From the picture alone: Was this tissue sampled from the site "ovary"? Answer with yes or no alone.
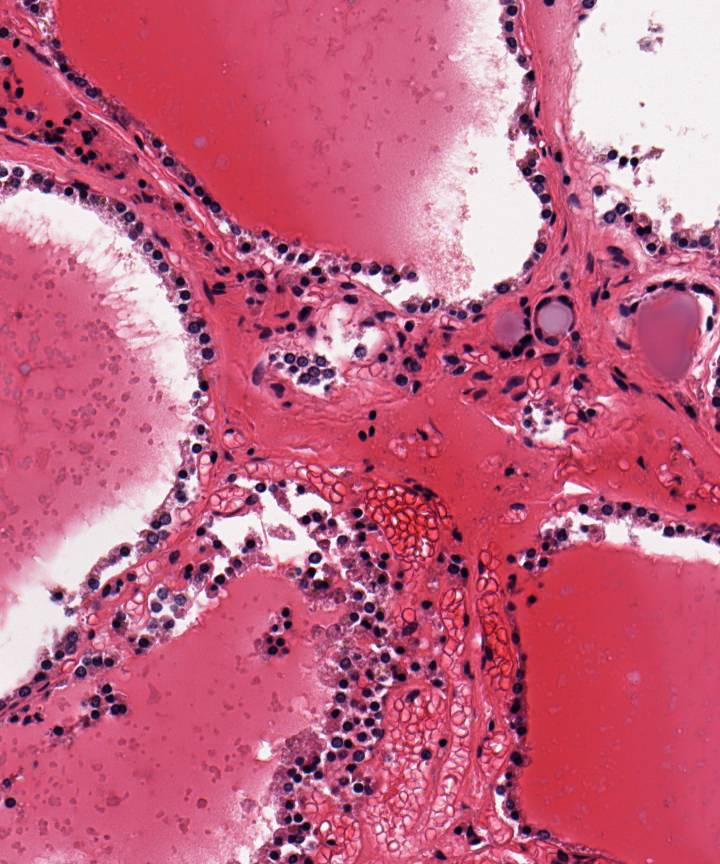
no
